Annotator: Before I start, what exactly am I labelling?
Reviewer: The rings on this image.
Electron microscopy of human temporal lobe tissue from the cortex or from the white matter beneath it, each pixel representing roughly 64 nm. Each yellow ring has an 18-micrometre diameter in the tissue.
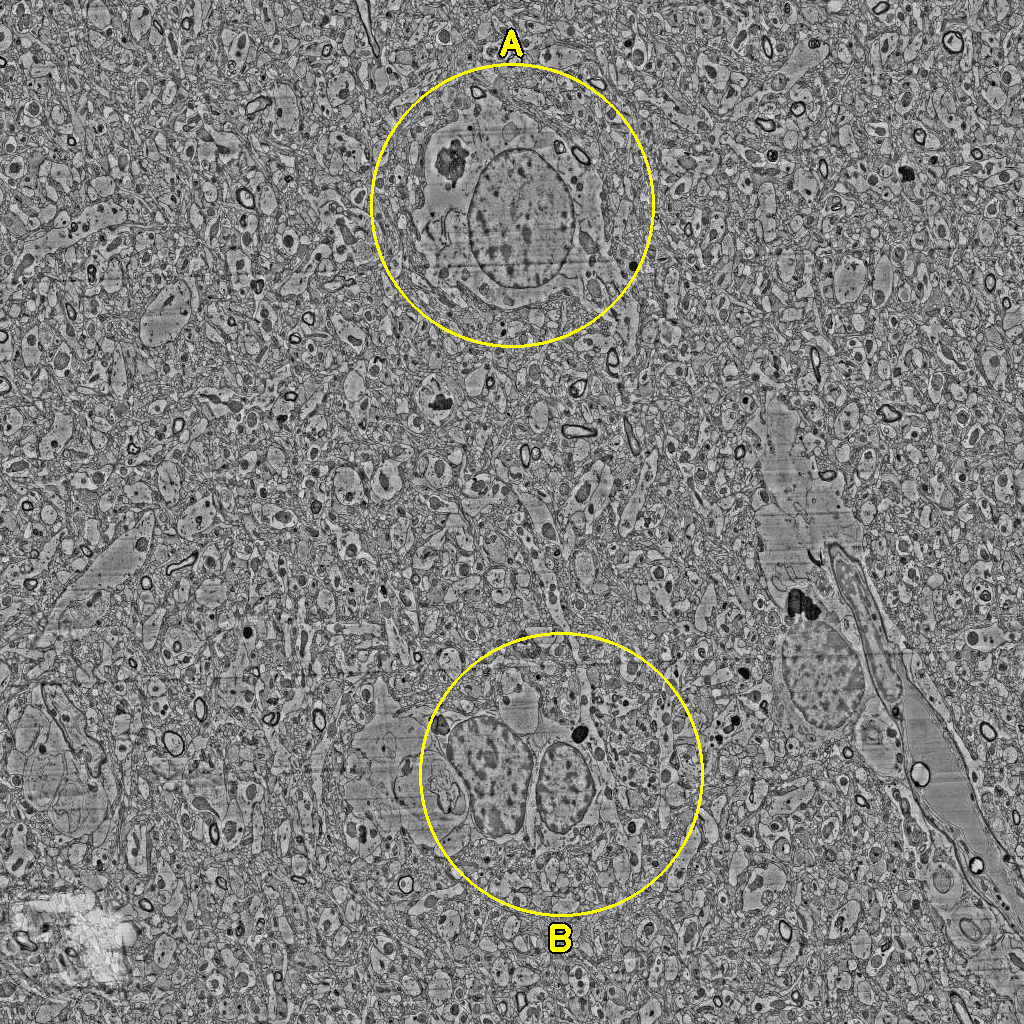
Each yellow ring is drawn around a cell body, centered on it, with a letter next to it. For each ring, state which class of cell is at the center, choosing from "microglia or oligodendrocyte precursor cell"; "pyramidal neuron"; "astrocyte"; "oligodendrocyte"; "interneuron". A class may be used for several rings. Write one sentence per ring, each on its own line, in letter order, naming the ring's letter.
At the center of ring A we have an astrocyte.
At the center of ring B we have a microglial cell or oligodendrocyte precursor cell.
